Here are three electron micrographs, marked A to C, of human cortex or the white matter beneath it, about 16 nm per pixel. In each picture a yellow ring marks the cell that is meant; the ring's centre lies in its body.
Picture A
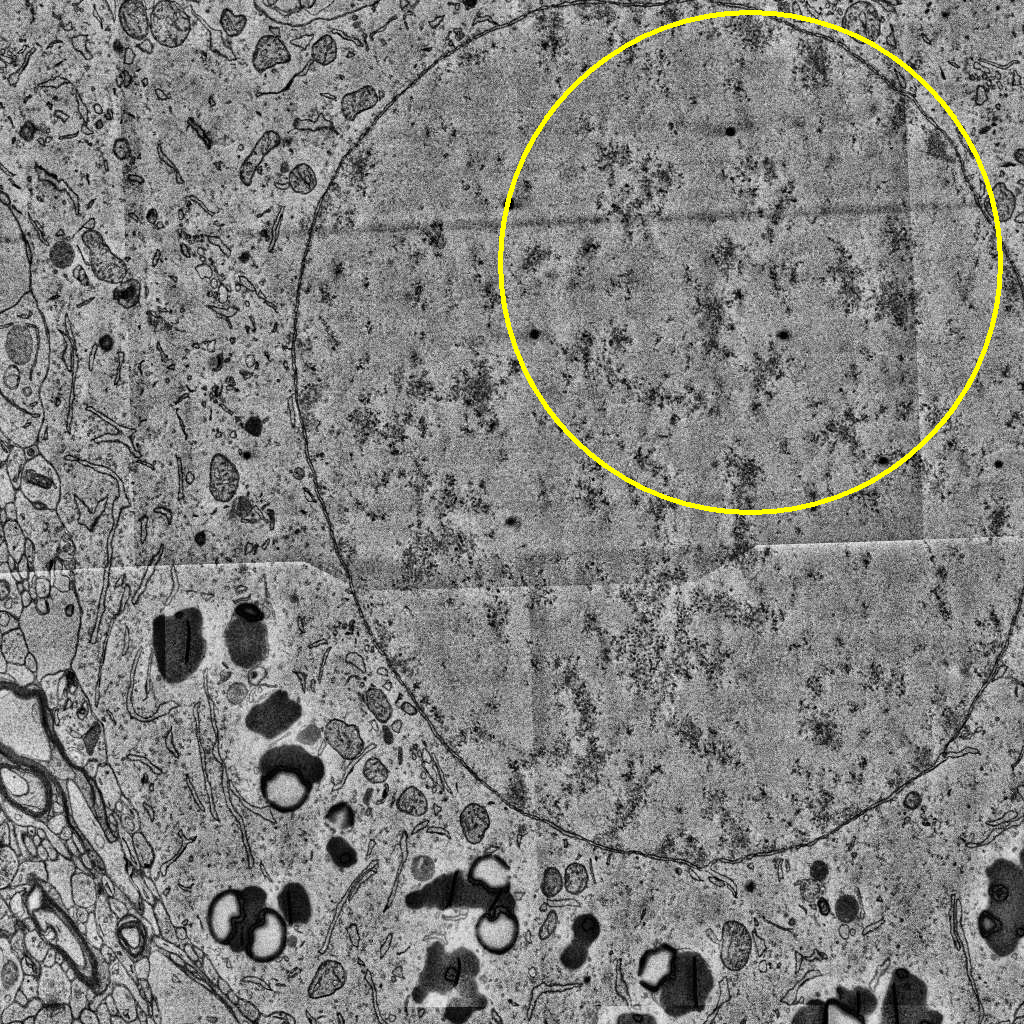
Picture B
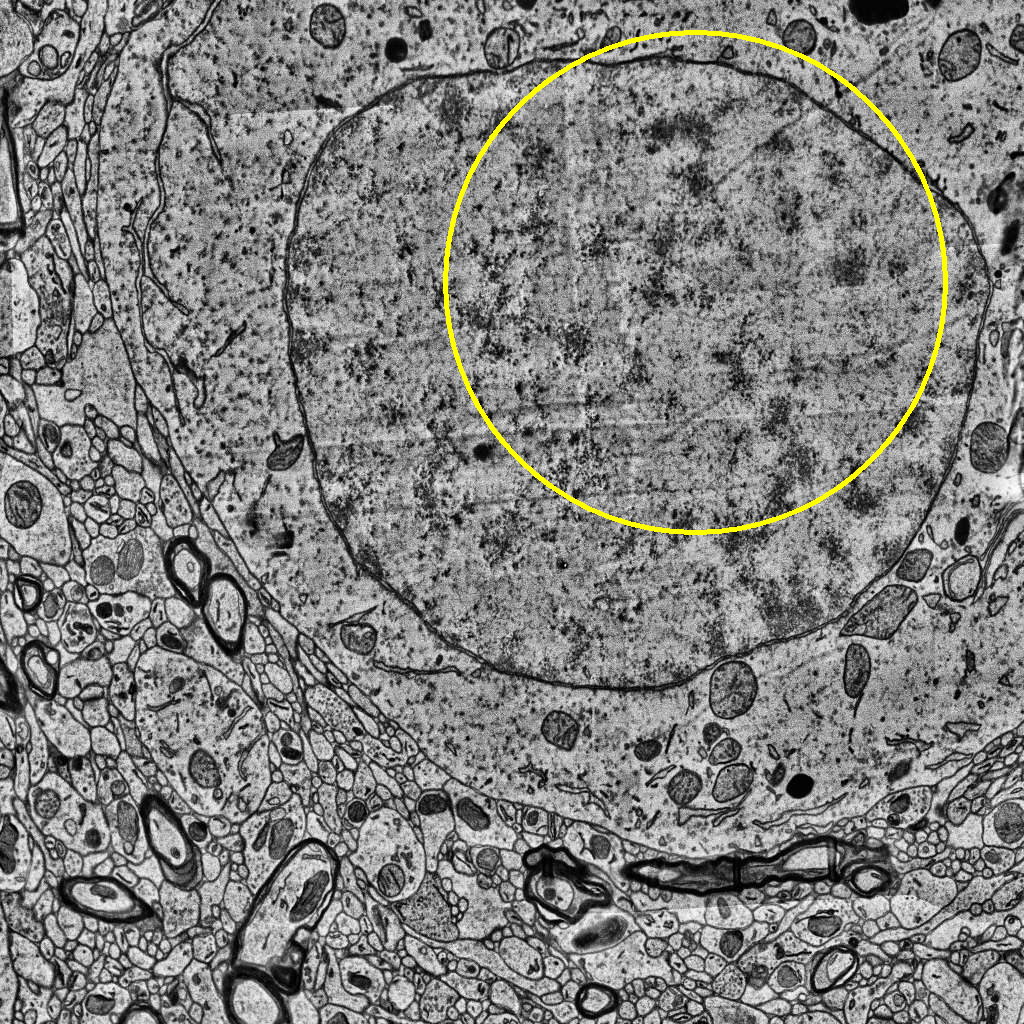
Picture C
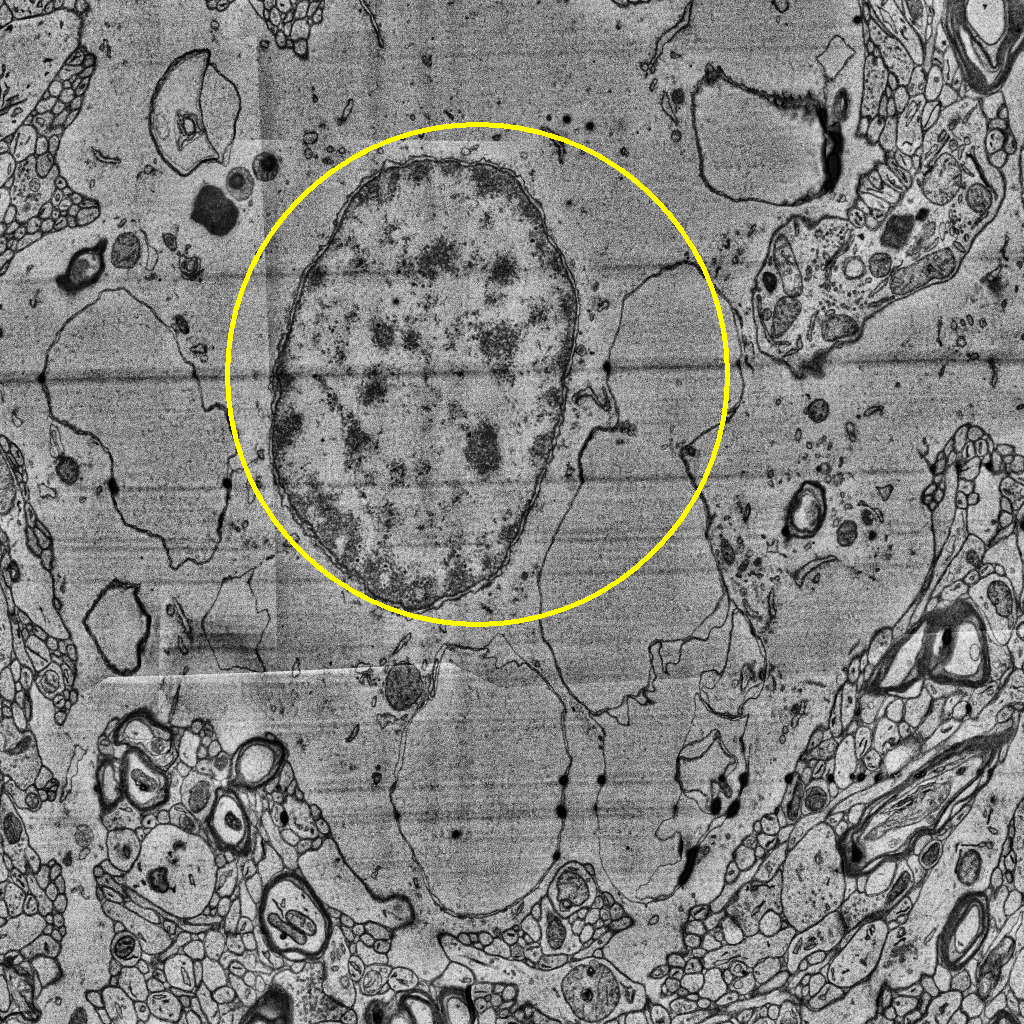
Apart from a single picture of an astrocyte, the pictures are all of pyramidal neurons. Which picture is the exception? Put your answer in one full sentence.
The cell in picture C is the astrocyte.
